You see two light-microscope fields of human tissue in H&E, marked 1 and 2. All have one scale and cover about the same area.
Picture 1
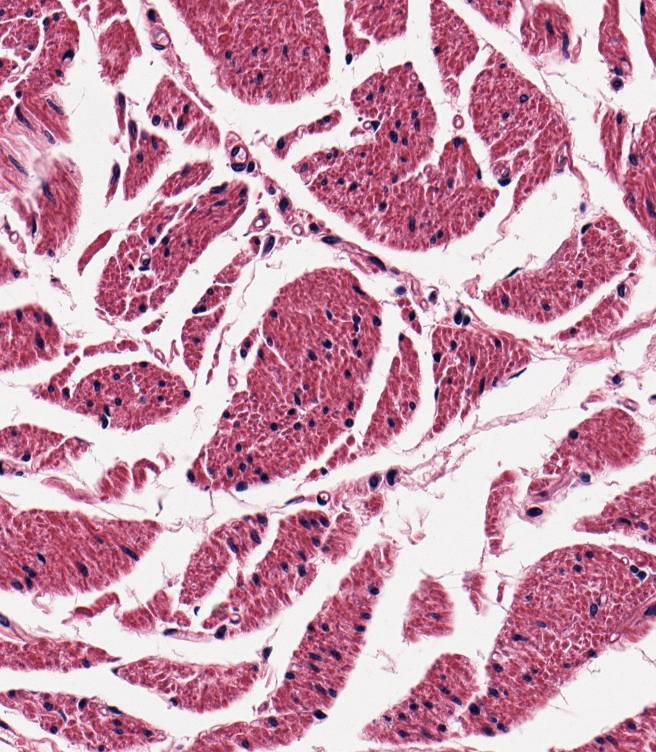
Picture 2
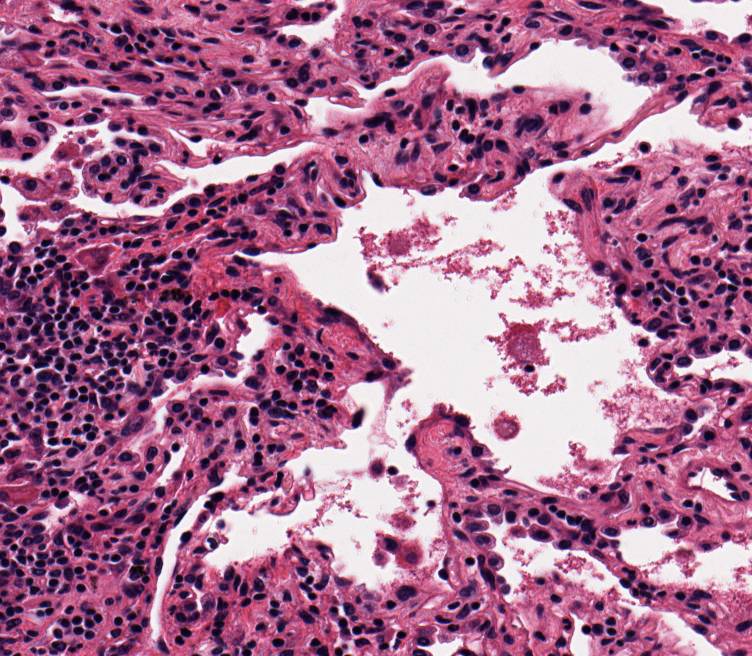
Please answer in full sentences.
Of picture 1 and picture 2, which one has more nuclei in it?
There are more nuclei in picture 2.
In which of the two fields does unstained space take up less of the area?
Less of picture 2 is empty and white.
